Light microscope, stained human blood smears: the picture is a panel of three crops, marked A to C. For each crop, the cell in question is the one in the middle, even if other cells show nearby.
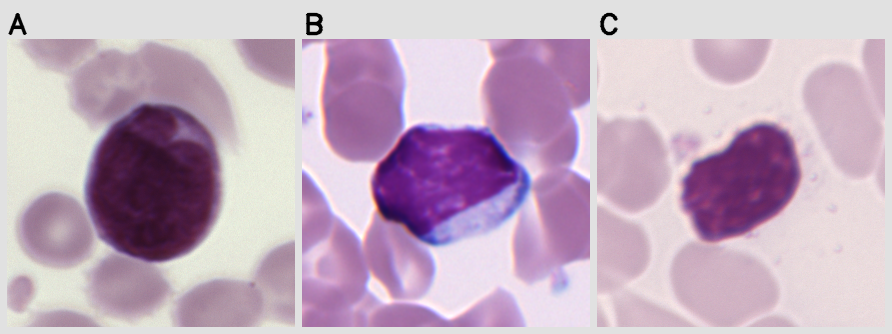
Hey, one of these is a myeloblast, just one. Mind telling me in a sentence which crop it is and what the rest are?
Crop A has a myeloblast as its central cell, while crop B is a typical lymphocyte and crop C is a smudge cell.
